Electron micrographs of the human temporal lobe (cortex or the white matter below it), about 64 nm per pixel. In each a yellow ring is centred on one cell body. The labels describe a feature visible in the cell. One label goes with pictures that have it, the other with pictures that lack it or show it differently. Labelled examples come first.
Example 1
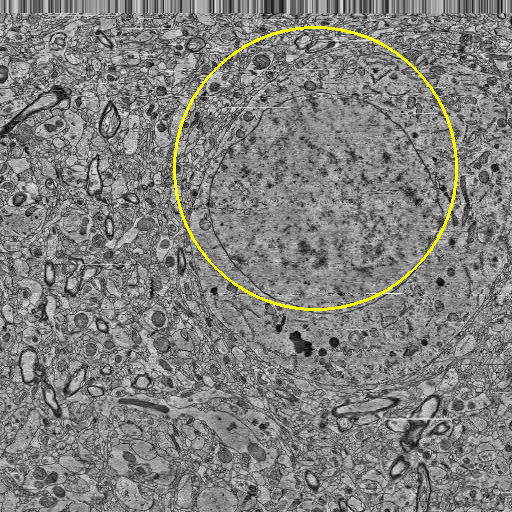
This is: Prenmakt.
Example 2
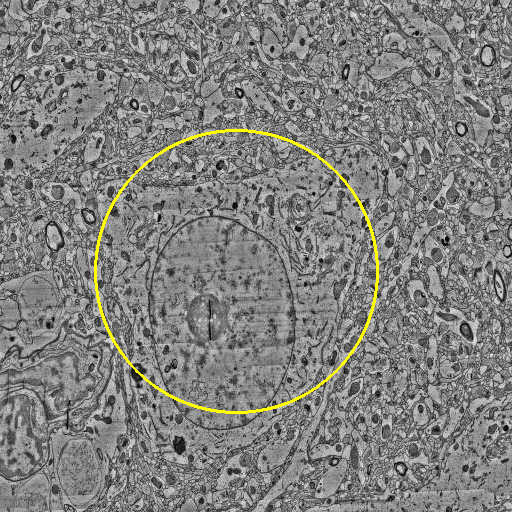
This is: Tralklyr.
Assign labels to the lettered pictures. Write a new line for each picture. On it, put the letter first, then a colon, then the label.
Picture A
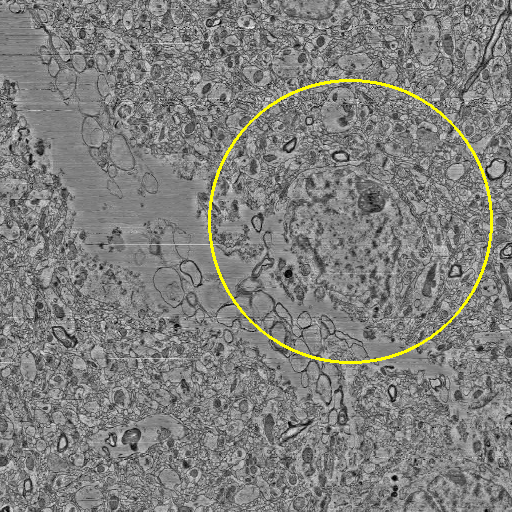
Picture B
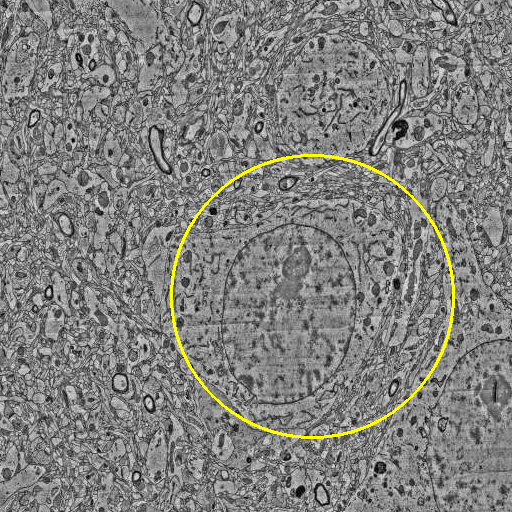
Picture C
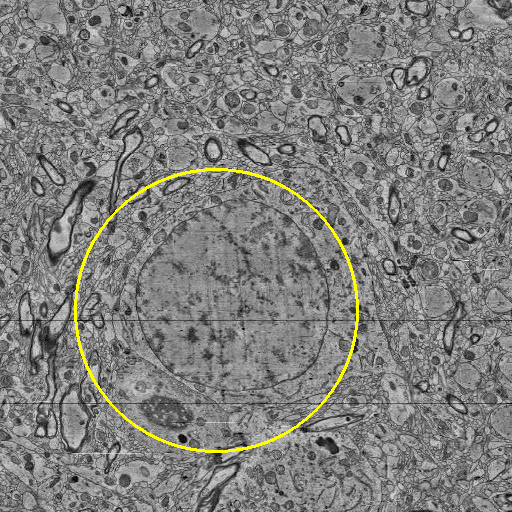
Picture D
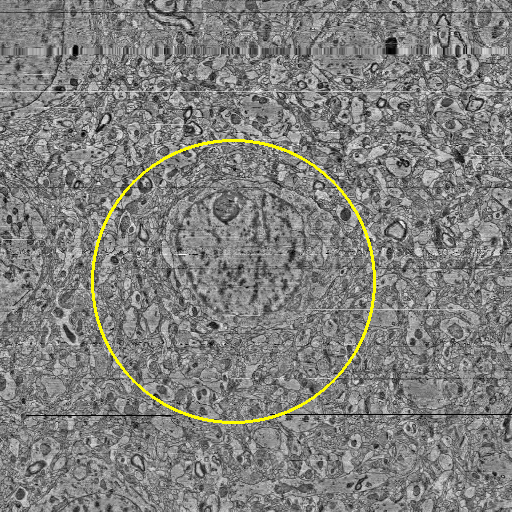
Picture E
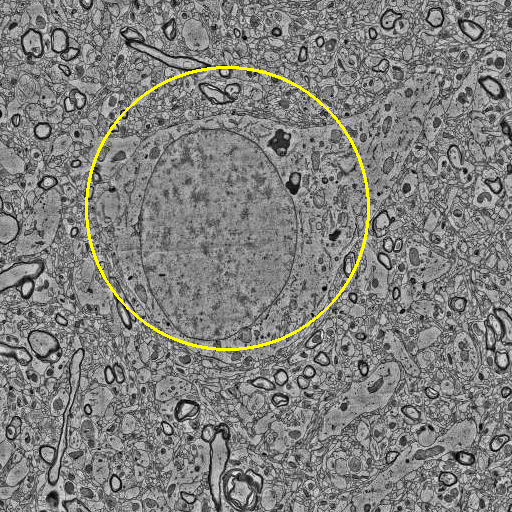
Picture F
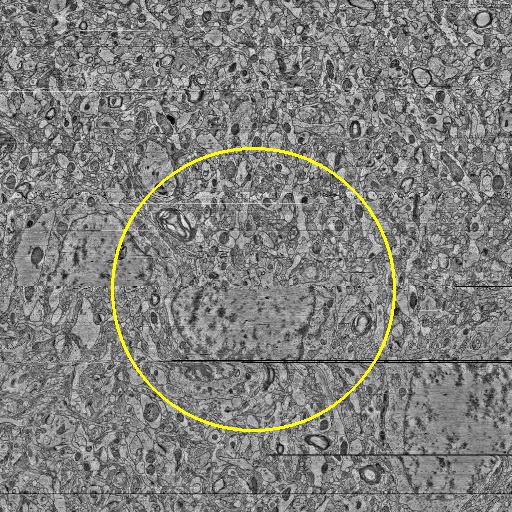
A: Tralklyr.
B: Tralklyr.
C: Prenmakt.
D: Tralklyr.
E: Prenmakt.
F: Prenmakt.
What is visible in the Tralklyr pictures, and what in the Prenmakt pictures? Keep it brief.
Tralklyr: nucleolus seen; Prenmakt: no nucleolus seen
